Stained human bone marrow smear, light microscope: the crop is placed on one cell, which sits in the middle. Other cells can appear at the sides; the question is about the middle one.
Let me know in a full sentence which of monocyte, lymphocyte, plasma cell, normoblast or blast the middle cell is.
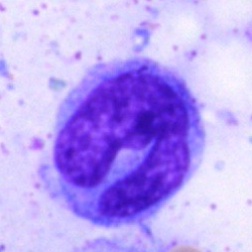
The middle cell in this particular crop is a monocyte.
